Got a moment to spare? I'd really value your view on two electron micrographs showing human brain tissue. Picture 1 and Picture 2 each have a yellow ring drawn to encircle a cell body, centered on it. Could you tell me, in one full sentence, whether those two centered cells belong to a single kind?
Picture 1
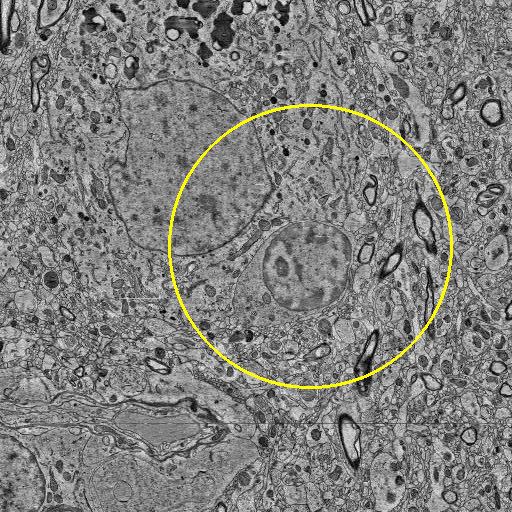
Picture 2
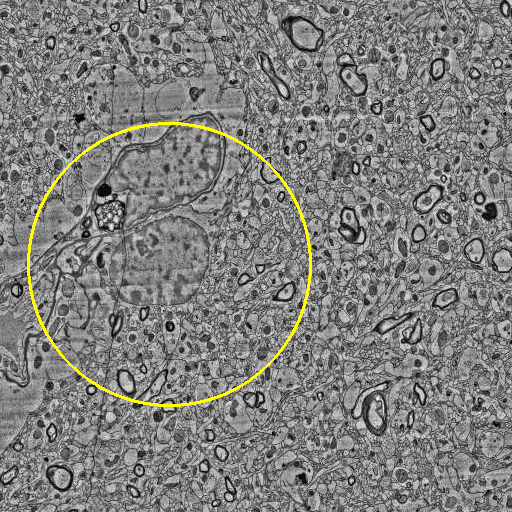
Yes, the two centered cells in Picture 1 and Picture 2 are of a single kind.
